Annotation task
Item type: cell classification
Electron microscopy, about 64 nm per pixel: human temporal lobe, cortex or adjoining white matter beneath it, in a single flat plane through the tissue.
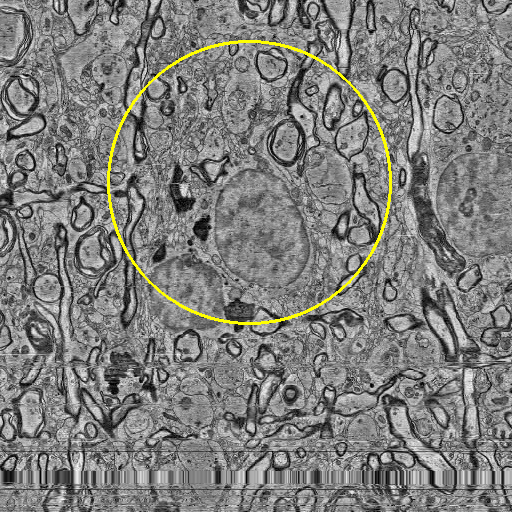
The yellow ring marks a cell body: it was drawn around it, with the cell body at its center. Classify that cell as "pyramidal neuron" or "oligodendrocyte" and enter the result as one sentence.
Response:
The ring's center falls on an oligodendrocyte.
